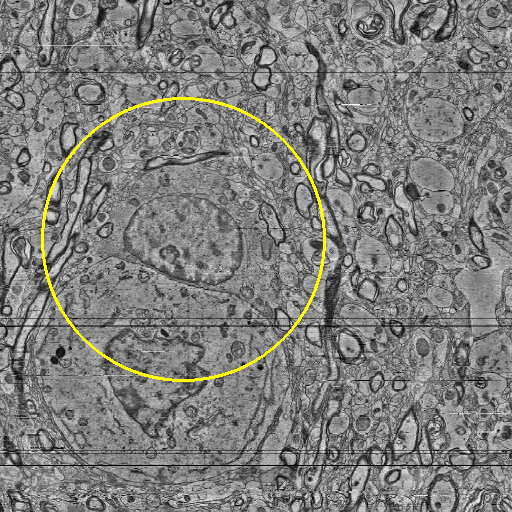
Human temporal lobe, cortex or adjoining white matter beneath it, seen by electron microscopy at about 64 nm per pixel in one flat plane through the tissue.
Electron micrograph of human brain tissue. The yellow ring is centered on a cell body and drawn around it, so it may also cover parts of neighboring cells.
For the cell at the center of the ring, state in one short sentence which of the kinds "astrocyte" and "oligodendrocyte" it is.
This ring is centered on an oligodendrocyte.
